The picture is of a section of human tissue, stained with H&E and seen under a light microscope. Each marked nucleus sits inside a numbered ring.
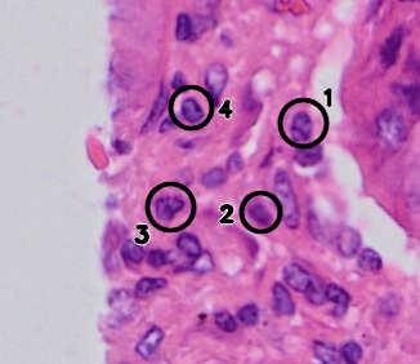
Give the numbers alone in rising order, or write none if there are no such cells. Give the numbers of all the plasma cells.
2, 3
